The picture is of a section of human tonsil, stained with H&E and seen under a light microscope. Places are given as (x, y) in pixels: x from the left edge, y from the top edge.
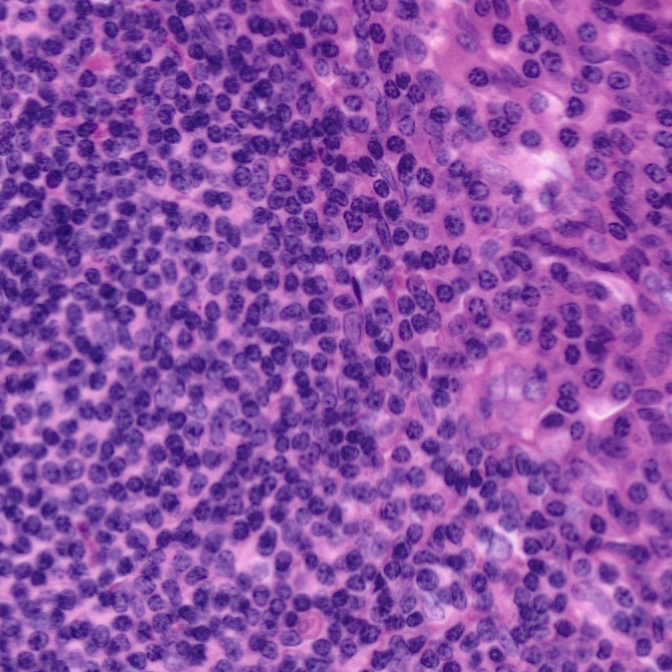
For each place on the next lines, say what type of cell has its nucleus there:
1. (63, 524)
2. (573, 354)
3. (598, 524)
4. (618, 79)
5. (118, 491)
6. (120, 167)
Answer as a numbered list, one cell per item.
1. small lymphocyte
2. plasma cell
3. plasma cell
4. plasma cell
5. small lymphocyte
6. small lymphocyte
